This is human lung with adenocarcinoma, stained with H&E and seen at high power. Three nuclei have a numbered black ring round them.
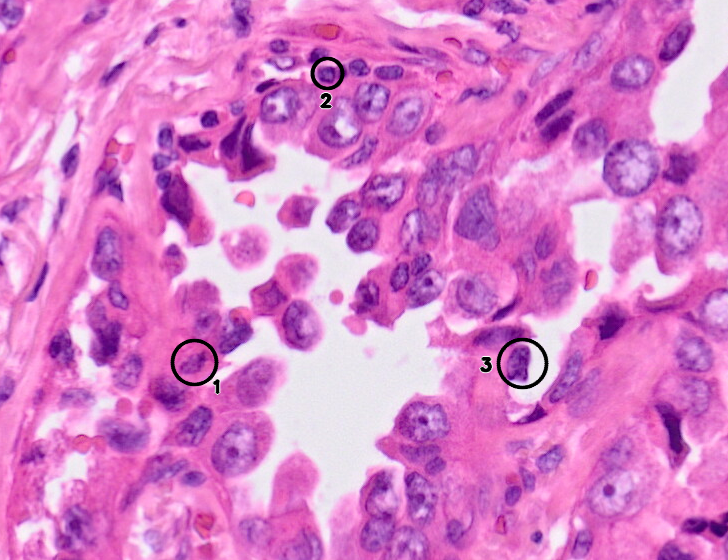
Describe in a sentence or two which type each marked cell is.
Cells 1 and 3 are carcinoma cells. Cell 2 is a lymphocyte.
